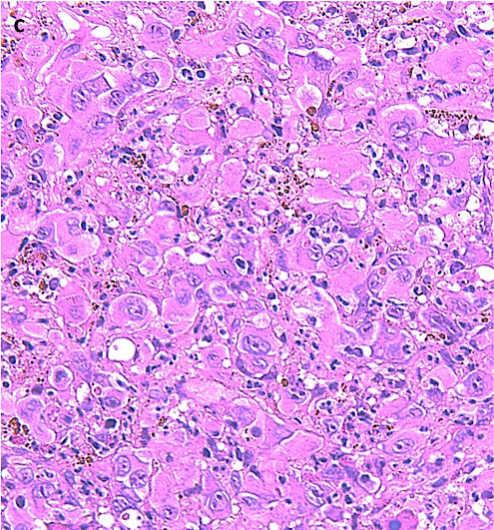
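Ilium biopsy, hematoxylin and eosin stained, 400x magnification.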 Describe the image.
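This is a dense sheet of large, round to polygonal tumour cells replacing the tissue. The cells have abundant pink cytoplasm and large, irregular, vesicular nuclei with conspicuous nucleoli. Some cells hold more than one nucleus. Between the tumour cells lie scattered small cells with dark nuclei and clumps of golden-brown pigment granules.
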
